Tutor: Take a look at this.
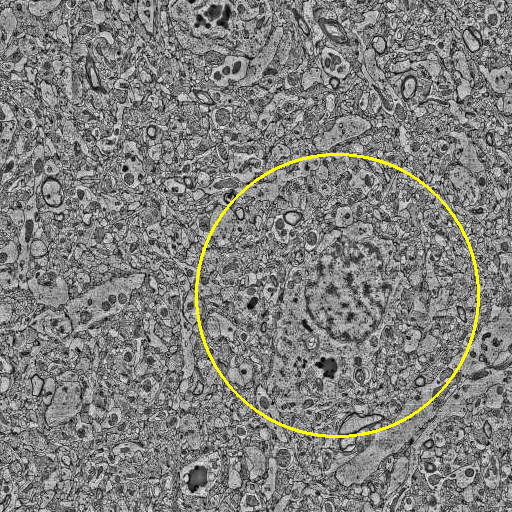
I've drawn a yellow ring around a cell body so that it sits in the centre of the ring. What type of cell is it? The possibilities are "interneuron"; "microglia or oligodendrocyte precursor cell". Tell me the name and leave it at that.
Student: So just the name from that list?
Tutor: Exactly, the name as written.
interneuron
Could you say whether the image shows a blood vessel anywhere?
No, there is none.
